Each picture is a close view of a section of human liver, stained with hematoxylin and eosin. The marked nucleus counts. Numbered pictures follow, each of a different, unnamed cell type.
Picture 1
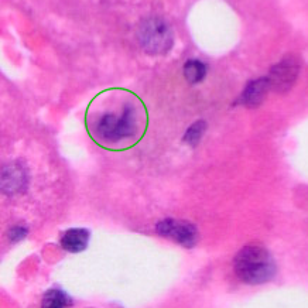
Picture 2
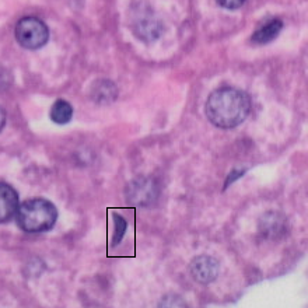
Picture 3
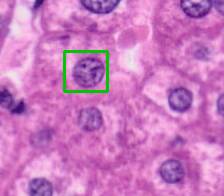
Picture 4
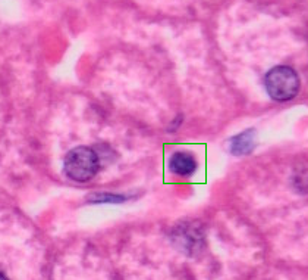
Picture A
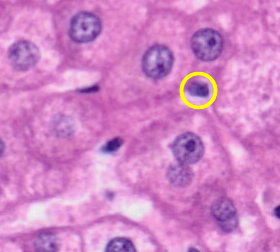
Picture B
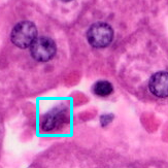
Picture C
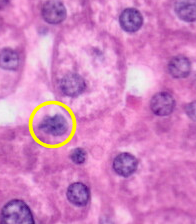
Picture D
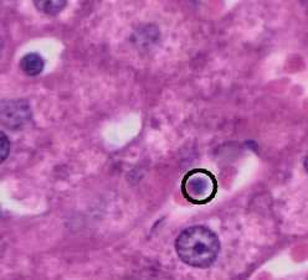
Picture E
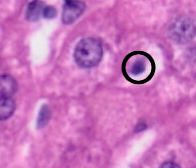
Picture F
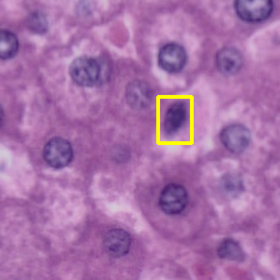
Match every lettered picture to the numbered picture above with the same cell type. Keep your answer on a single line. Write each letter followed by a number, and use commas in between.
A 2, B 1, C 2, D 4, E 4, F 1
